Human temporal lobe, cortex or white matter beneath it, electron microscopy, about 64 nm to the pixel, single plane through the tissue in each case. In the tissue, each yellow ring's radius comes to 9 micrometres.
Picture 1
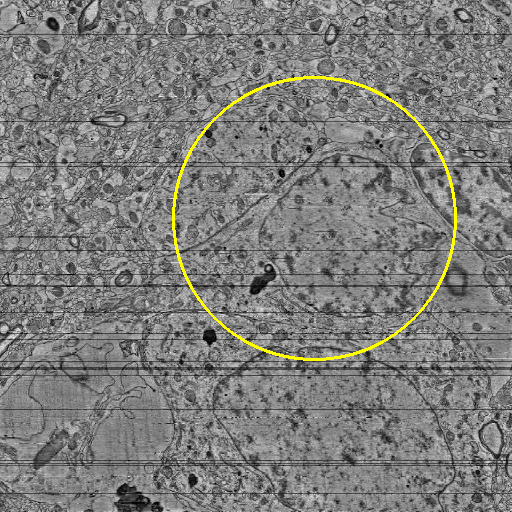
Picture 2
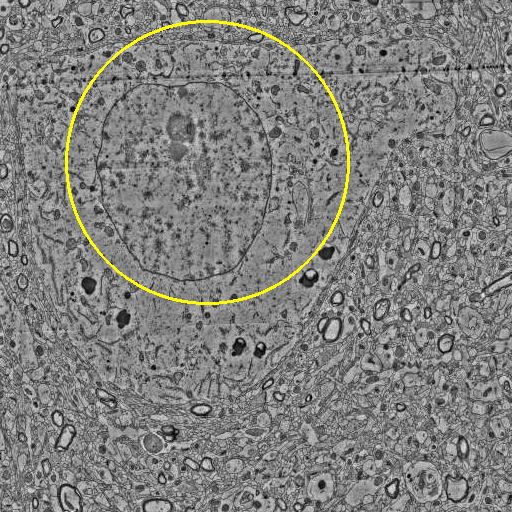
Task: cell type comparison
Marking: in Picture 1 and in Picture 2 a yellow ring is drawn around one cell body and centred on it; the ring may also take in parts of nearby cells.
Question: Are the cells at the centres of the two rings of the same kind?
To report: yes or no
no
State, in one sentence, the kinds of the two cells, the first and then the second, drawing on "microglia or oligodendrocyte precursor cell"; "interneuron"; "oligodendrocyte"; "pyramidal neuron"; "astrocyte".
The ring in the second picture is centred on a pyramidal neuron, the ring in the first on an interneuron.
